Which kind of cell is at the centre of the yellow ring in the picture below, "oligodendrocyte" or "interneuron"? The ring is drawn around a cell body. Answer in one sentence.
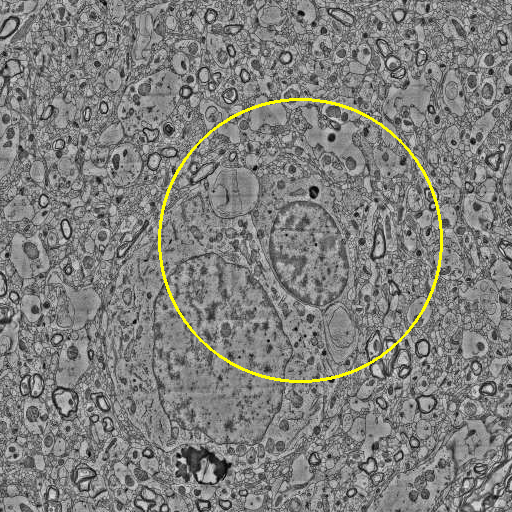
The ring's central cell is an oligodendrocyte.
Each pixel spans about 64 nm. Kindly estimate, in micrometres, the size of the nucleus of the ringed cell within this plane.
In this plane the nucleus measures roughly 7 by 5 micrometres.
